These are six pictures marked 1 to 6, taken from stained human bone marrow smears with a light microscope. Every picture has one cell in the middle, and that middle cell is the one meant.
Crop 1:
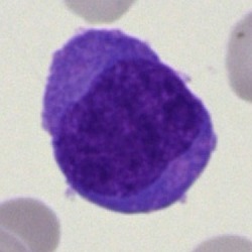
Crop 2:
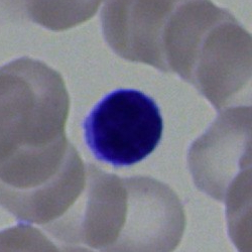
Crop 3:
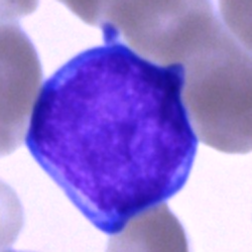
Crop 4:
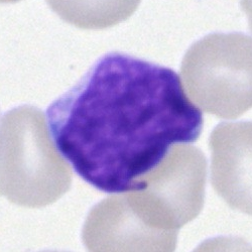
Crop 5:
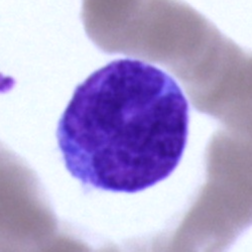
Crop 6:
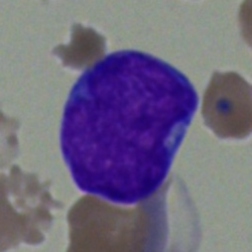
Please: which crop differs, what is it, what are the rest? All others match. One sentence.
The crops all show blasts, with the exception of crop 2, which shows a lymphocyte.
